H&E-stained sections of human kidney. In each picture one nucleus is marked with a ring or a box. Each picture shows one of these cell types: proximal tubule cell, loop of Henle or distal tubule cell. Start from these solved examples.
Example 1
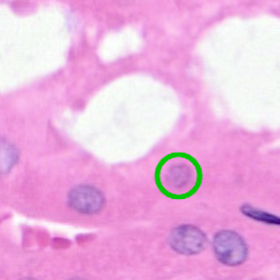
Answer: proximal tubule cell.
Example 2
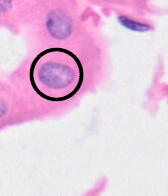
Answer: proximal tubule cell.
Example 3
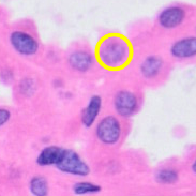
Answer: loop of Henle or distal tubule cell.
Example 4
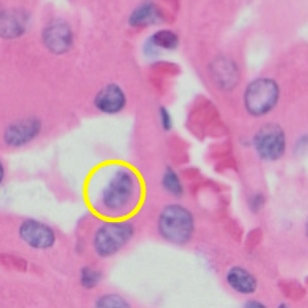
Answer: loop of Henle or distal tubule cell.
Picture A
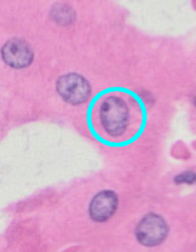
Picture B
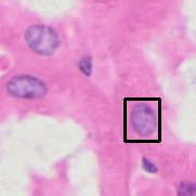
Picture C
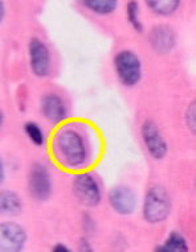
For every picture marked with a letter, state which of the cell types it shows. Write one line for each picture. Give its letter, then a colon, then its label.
A: proximal tubule cell.
B: proximal tubule cell.
C: loop of Henle or distal tubule cell.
